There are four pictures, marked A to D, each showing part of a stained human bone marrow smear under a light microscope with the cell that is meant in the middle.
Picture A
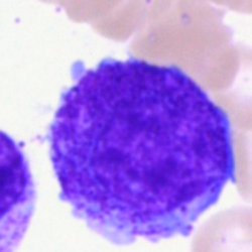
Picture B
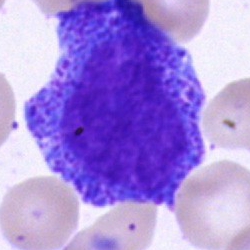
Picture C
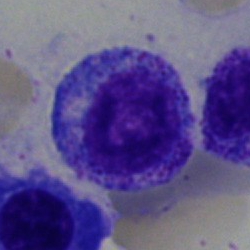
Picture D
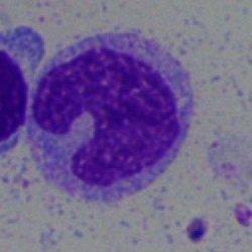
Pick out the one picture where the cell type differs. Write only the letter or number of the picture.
D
